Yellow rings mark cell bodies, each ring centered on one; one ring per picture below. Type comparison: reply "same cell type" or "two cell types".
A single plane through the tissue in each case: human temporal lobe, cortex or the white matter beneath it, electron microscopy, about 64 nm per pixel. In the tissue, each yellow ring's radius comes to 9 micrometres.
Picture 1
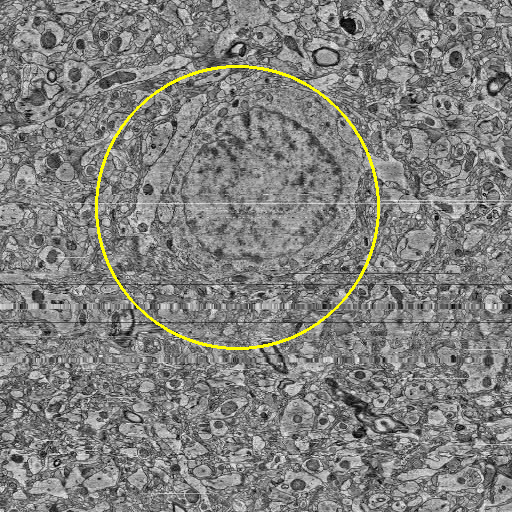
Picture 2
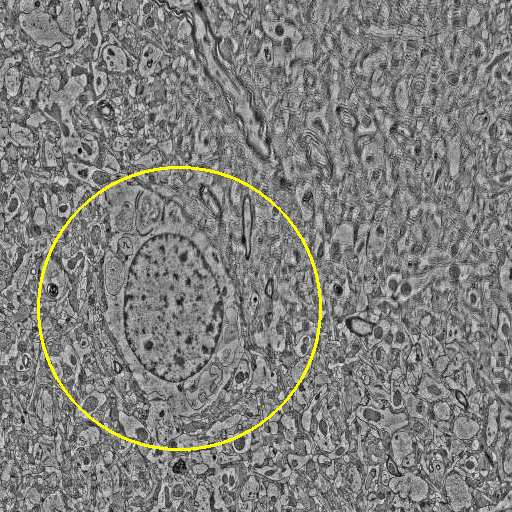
two cell types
